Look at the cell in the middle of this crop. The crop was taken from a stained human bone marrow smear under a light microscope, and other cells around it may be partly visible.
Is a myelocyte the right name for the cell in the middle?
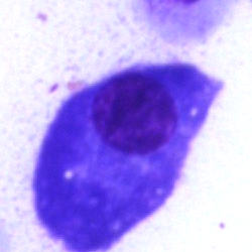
no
